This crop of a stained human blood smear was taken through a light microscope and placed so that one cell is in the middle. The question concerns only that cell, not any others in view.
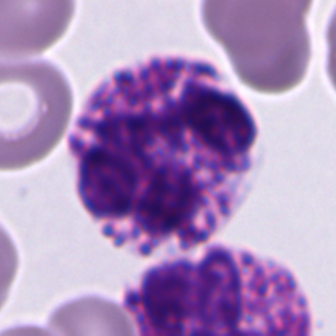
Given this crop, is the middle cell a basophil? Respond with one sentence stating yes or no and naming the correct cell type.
Yes, that middle cell in the crop is a basophil.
